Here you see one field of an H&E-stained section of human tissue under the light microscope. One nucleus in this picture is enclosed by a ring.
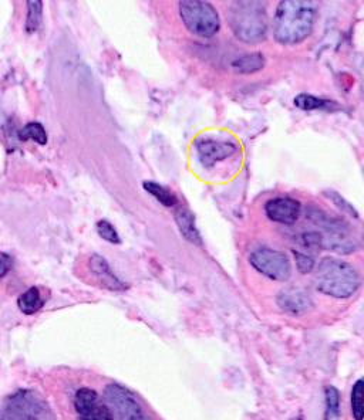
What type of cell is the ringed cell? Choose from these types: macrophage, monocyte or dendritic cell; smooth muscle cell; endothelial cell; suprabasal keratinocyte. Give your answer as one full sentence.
As a matter of cell type, the ringed cell is a macrophage, monocyte or dendritic cell.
